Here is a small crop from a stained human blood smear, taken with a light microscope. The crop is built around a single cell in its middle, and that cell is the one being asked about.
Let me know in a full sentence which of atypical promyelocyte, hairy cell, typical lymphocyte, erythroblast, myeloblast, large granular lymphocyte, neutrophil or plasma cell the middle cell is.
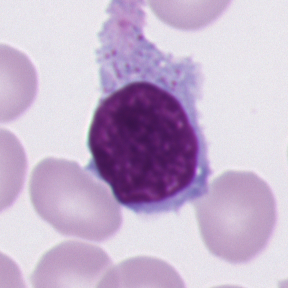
In this smear crop, the middle cell is a large granular lymphocyte.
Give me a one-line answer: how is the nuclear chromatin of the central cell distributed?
The chromatin pattern here is coarse and clumped.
